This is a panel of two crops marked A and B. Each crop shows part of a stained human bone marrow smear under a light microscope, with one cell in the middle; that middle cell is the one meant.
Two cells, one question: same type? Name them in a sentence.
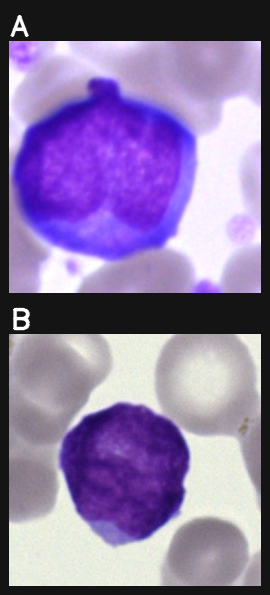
Yes, the cells at the middle of both crops are blasts.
